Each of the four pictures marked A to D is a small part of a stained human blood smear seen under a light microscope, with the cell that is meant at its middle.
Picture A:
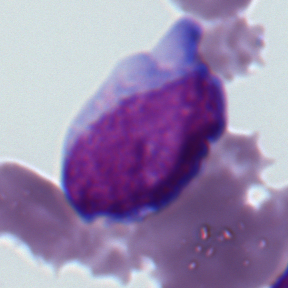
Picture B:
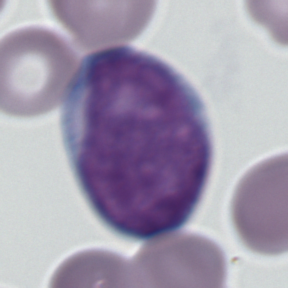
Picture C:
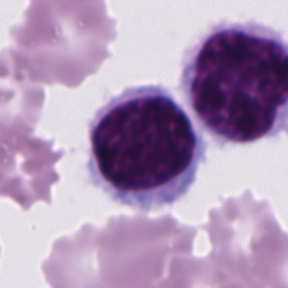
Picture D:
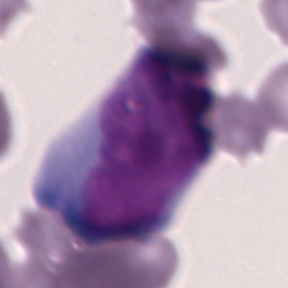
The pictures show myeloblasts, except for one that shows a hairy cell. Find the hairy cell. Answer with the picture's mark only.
C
